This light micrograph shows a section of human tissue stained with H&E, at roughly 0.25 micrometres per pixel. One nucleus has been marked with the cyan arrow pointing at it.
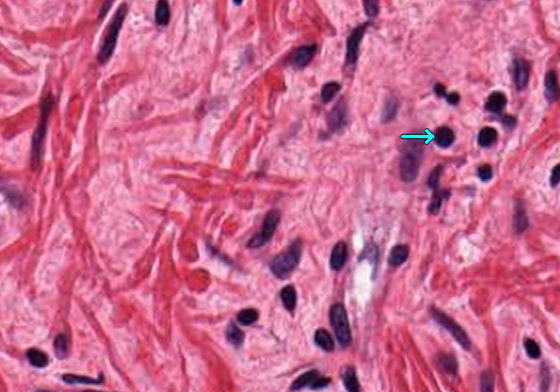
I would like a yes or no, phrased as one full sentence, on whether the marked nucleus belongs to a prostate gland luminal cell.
No, a supporting cell is the one to which the marked nucleus belongs, not a prostate gland luminal cell.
